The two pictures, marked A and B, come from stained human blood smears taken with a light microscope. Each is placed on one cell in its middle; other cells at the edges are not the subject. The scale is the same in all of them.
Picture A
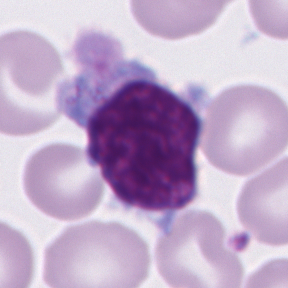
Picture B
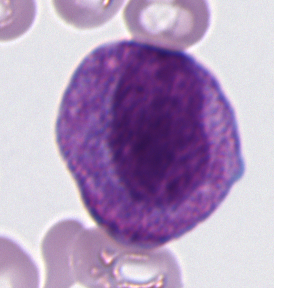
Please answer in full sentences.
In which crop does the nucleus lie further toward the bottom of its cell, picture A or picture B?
The nucleus in picture A lies further toward the bottom of its cell.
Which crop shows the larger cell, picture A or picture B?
It is the cell in picture B, about 1.5 times as large in area as the cell in picture A.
